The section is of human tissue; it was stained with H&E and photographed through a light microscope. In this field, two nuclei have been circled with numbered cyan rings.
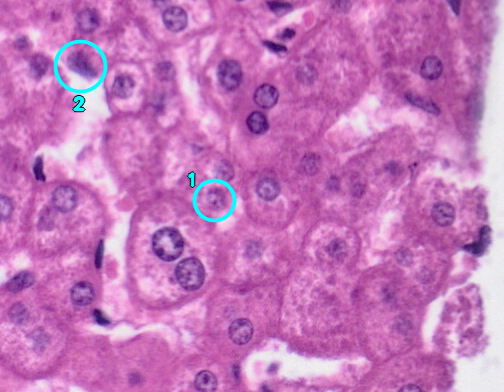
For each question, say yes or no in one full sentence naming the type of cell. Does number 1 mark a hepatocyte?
Yes, cell 1 is a hepatocyte in this tissue section.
